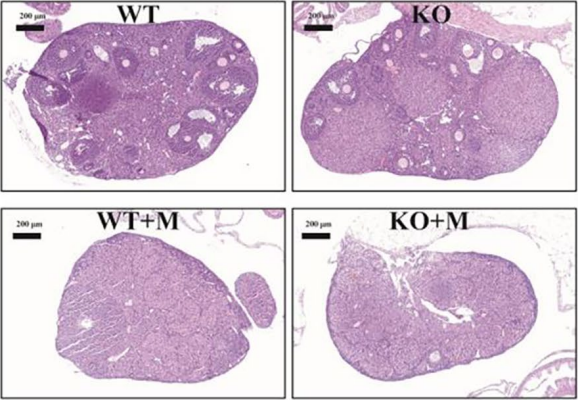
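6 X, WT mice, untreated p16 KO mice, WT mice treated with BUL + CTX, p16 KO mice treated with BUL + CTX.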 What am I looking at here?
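Four sections of mouse ovary stained pink and purple. In the upper two sections the tissue holds many follicles of different sizes, some with a large pale oocyte and some with clear fluid-filled cavities, lying among denser purple stroma and rounded pale pink bodies. The lower two sections look more uniform and compact, with purple stroma and few or no large cavity-bearing follicles.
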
